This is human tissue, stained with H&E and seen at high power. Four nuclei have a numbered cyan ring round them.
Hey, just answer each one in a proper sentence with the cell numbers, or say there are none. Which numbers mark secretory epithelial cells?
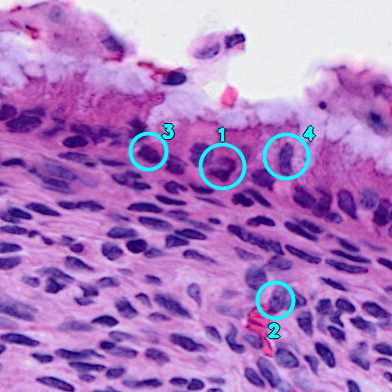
Cells 1, 3 and 4 are of one type, namely secretory epithelial cells.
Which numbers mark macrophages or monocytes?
No macrophages or monocytes are present among the cells marked with numbers.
